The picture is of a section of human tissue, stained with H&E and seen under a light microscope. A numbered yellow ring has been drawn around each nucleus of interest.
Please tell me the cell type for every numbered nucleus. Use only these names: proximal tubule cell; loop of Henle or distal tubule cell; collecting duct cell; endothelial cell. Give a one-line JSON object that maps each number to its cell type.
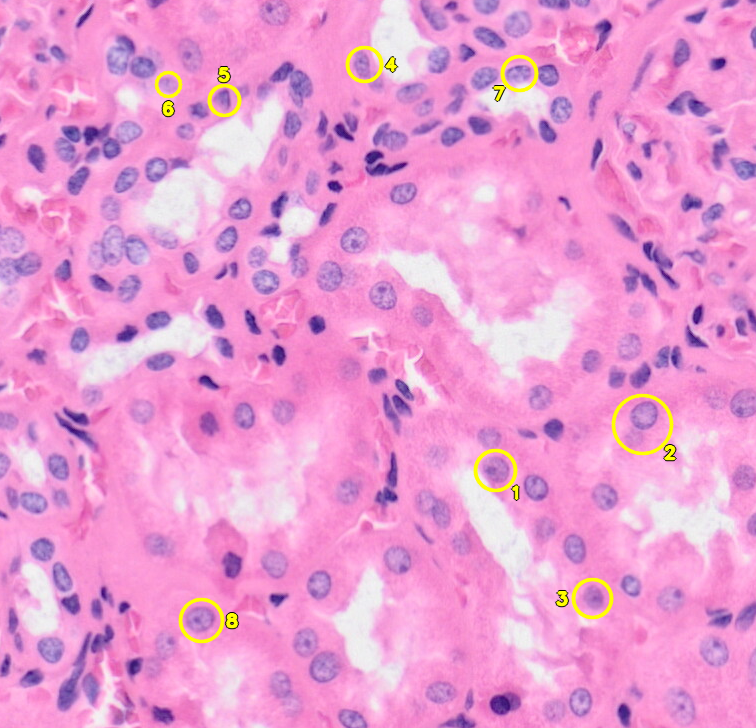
{"1": "proximal tubule cell", "2": "proximal tubule cell", "3": "proximal tubule cell", "4": "collecting duct cell", "5": "collecting duct cell", "6": "collecting duct cell", "7": "collecting duct cell", "8": "proximal tubule cell"}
